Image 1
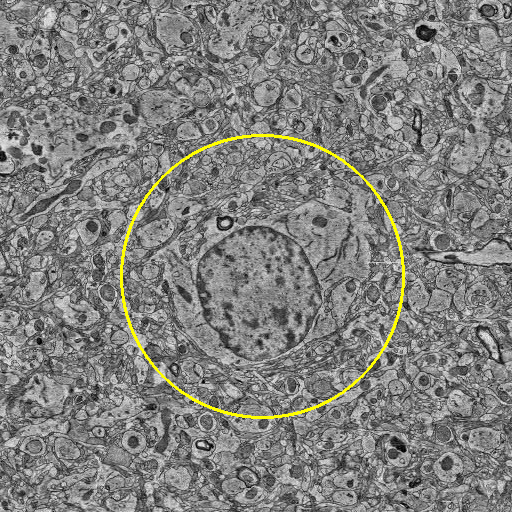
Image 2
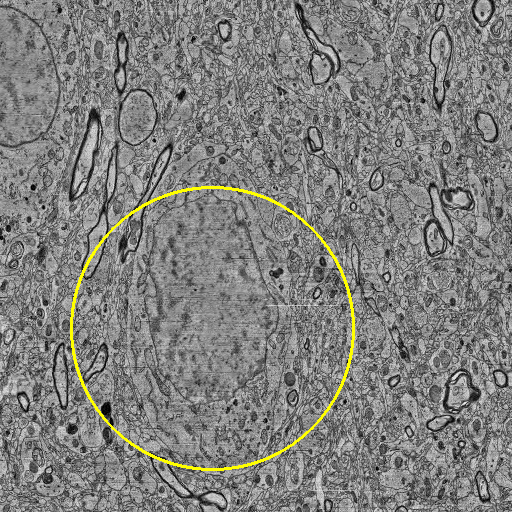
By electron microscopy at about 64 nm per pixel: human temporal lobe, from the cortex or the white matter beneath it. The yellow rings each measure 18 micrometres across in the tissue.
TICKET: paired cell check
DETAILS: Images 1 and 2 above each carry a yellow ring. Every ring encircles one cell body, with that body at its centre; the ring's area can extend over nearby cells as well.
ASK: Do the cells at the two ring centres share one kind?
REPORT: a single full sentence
No, the ring-centre cells of Images 1 and 2 belong to two kinds.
